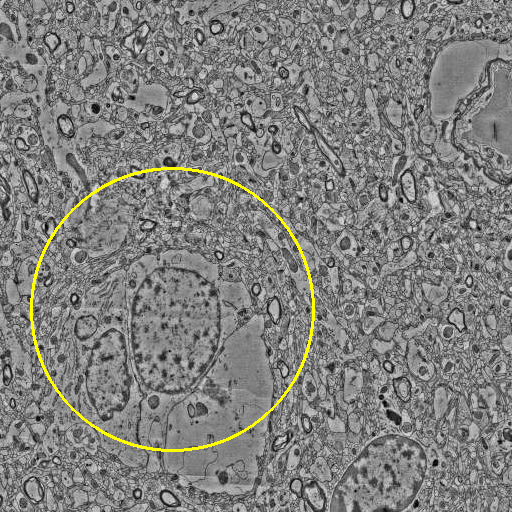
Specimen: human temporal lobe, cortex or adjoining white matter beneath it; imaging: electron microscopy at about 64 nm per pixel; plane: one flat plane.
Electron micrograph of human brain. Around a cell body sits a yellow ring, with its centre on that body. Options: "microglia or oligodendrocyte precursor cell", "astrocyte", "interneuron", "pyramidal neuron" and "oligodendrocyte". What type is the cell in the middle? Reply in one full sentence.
The cell sitting at the centre of the yellow ring is an astrocyte.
